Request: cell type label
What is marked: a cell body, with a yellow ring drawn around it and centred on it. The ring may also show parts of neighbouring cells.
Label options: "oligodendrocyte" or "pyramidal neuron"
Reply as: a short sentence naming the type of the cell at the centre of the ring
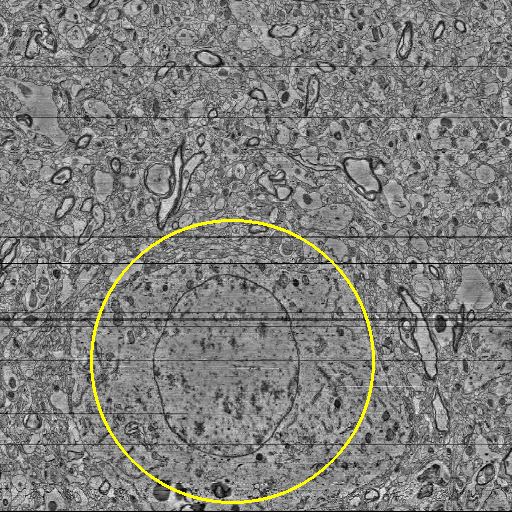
The marked cell body is that of a pyramidal neuron.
